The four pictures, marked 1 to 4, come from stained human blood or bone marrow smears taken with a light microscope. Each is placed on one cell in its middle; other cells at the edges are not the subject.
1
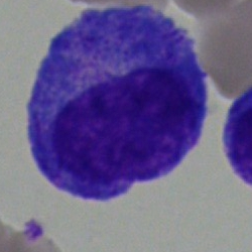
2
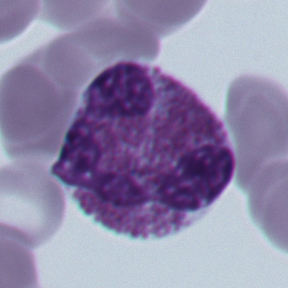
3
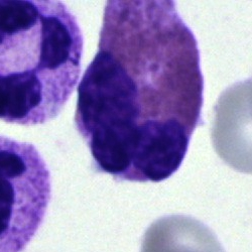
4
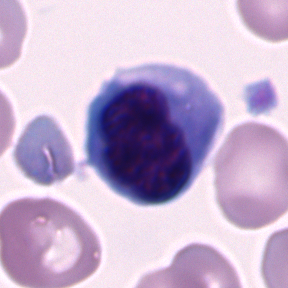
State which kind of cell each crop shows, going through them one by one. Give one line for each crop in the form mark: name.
1: promyelocyte
2: eosinophil
3: eosinophil
4: erythroblast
